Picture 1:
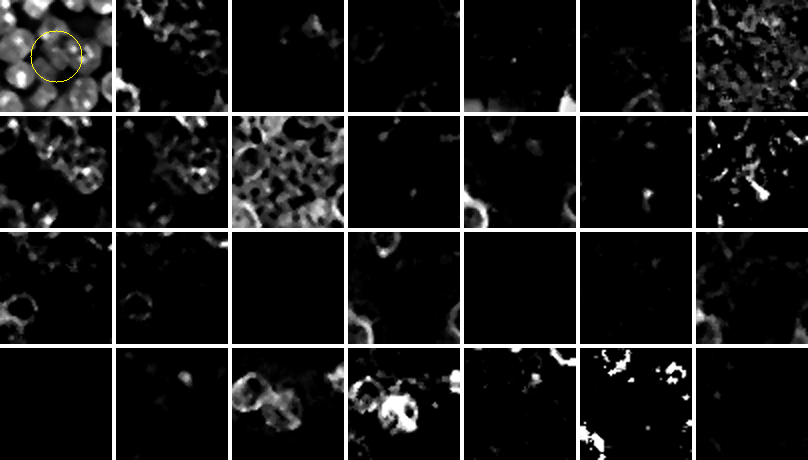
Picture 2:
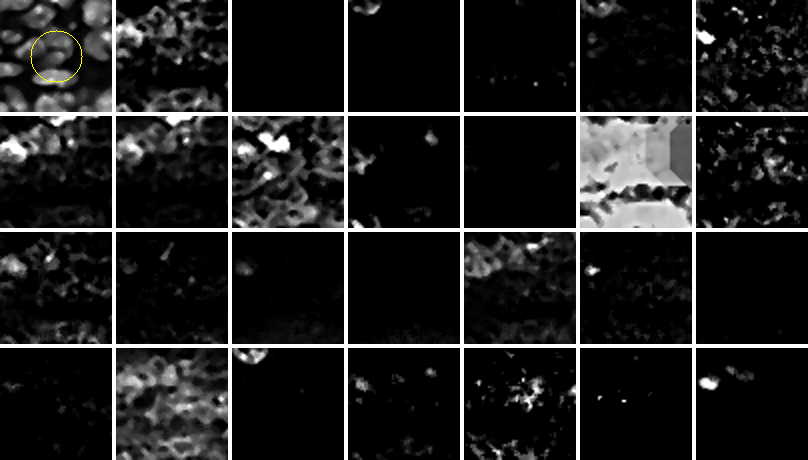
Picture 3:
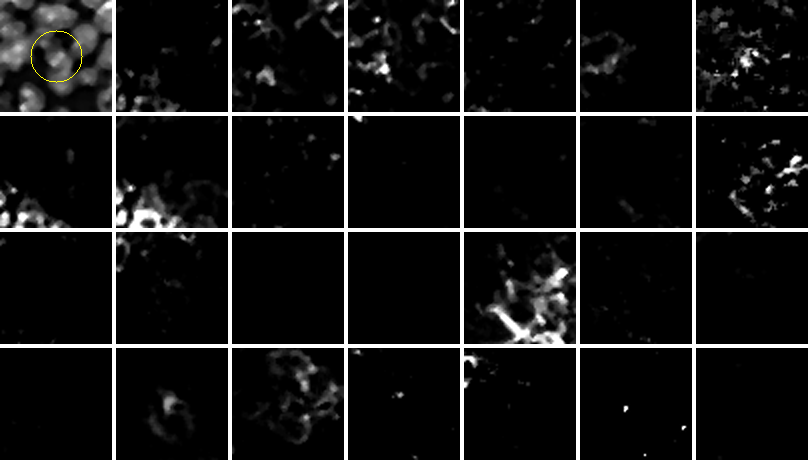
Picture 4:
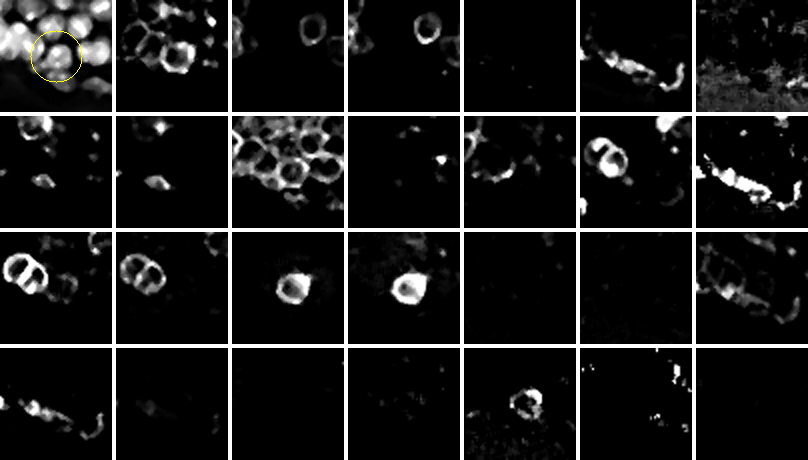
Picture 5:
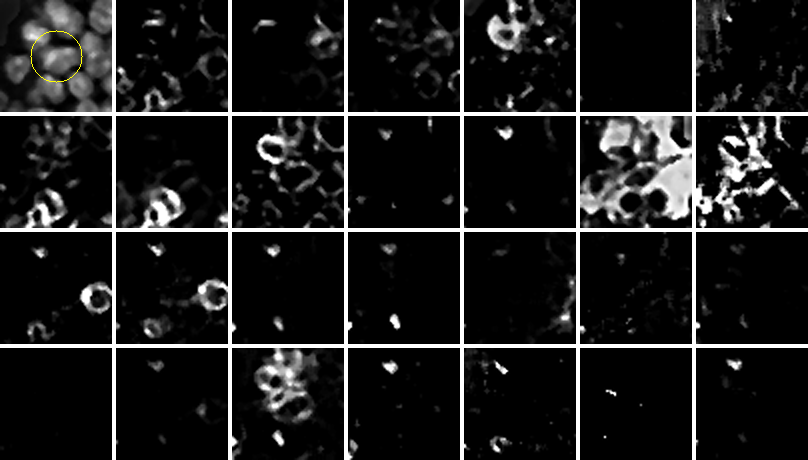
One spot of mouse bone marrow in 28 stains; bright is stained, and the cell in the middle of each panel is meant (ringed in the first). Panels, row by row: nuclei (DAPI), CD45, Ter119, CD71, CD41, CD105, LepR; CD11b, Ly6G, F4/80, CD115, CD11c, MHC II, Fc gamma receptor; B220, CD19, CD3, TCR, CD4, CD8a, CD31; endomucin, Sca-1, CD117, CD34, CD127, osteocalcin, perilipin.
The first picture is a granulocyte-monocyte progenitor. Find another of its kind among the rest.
Picture 5.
